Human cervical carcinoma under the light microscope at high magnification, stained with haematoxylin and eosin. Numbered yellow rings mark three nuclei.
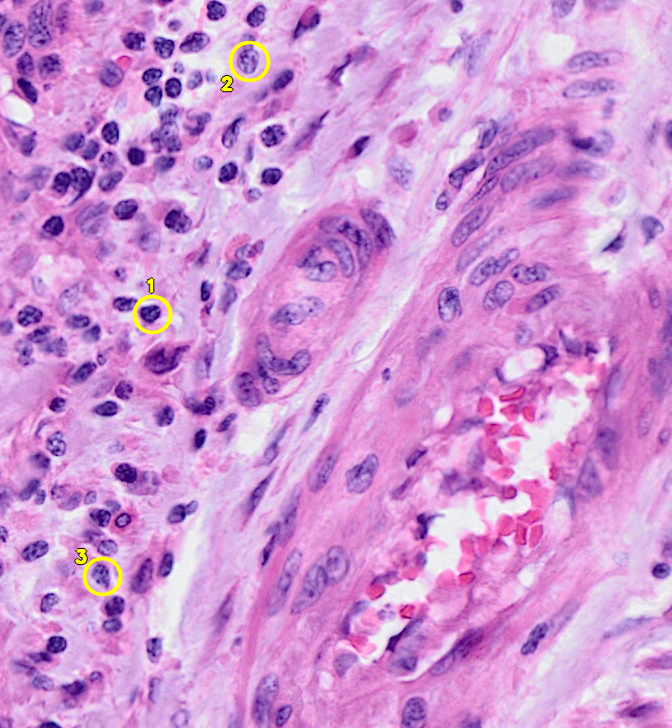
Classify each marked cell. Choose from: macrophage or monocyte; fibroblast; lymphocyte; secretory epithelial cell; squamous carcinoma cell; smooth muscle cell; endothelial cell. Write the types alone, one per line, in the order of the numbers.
lymphocyte
macrophage or monocyte
lymphocyte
